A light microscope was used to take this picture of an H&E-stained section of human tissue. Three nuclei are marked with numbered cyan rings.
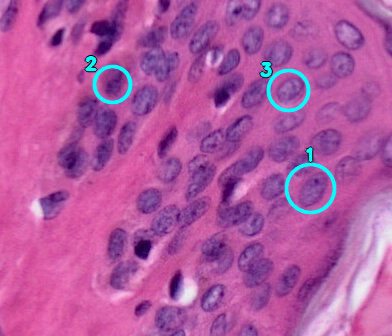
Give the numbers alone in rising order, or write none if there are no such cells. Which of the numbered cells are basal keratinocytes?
2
